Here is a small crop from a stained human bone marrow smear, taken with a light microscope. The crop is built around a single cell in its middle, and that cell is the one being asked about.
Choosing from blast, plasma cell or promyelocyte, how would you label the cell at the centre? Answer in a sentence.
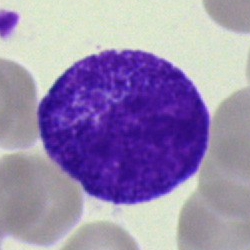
Answering briefly, the cell in the middle is a promyelocyte.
